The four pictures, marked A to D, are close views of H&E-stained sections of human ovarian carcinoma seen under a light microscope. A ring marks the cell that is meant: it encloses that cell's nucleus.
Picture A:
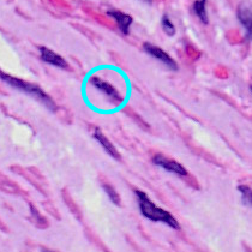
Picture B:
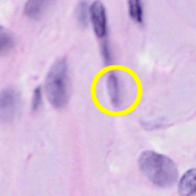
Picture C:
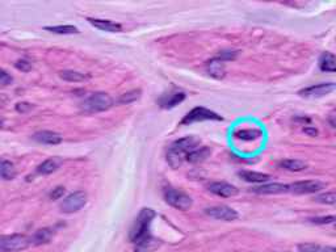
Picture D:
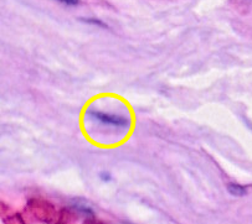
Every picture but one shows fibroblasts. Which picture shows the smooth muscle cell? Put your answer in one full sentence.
Picture C is the one that shows the smooth muscle cell.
